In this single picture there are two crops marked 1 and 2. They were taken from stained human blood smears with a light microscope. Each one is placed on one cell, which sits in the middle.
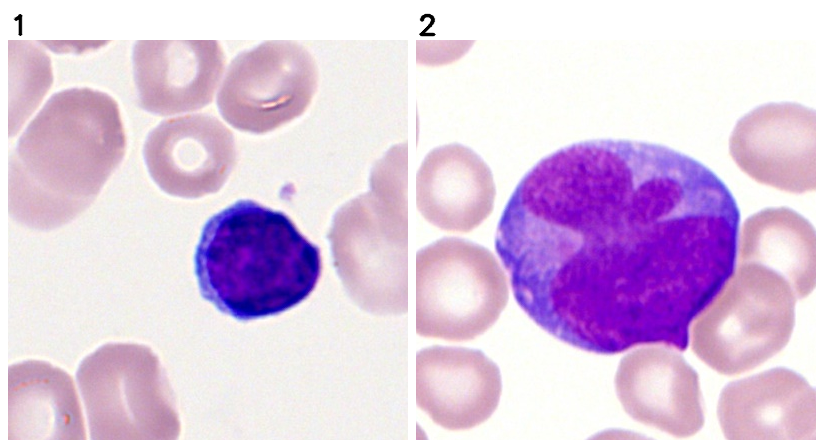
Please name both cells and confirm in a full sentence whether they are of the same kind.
No: a lymphocyte sits in crop 1, and a myeloblast sits in crop 2.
